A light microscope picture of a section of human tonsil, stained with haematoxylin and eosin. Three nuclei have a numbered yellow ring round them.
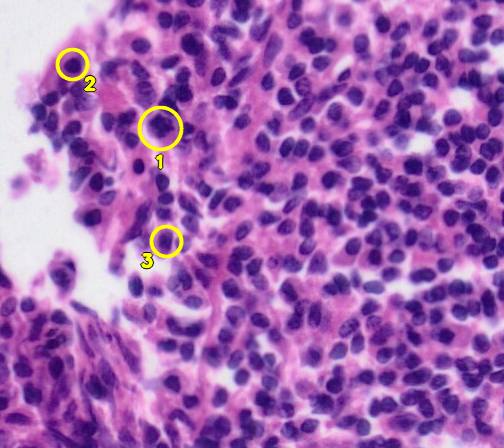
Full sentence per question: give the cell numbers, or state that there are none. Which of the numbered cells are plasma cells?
Cells 2 and 3 are plasma cells by cell type.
